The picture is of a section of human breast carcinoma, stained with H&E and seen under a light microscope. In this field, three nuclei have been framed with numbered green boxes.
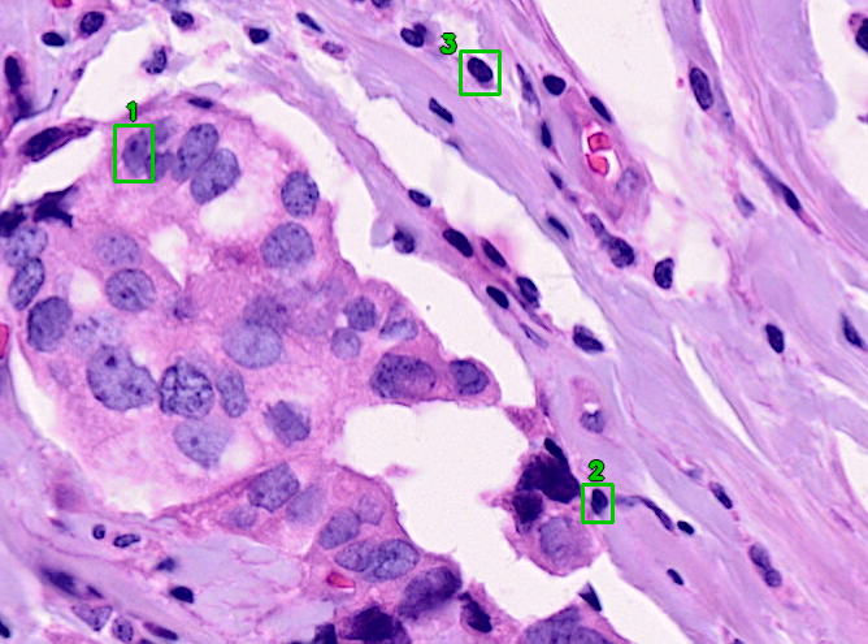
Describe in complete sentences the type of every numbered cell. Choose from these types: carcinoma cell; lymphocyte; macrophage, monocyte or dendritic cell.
Cell 1 is a carcinoma cell, cell 2 is a lymphocyte and cell 3 is a lymphocyte.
